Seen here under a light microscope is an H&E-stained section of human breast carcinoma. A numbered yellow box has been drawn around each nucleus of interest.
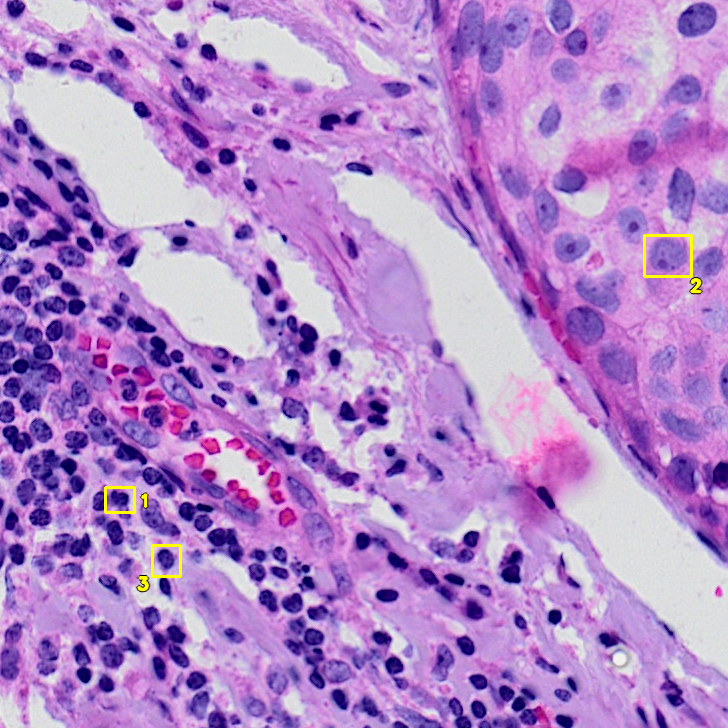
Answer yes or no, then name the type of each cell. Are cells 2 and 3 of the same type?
No: cell 2 is a carcinoma cell, while cell 3 is a lymphocyte.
